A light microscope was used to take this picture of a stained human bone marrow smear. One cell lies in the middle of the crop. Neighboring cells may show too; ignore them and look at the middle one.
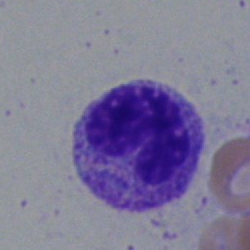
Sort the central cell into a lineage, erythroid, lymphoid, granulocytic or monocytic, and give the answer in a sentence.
The lineage of the cell at the center of the crop is granulocytic.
